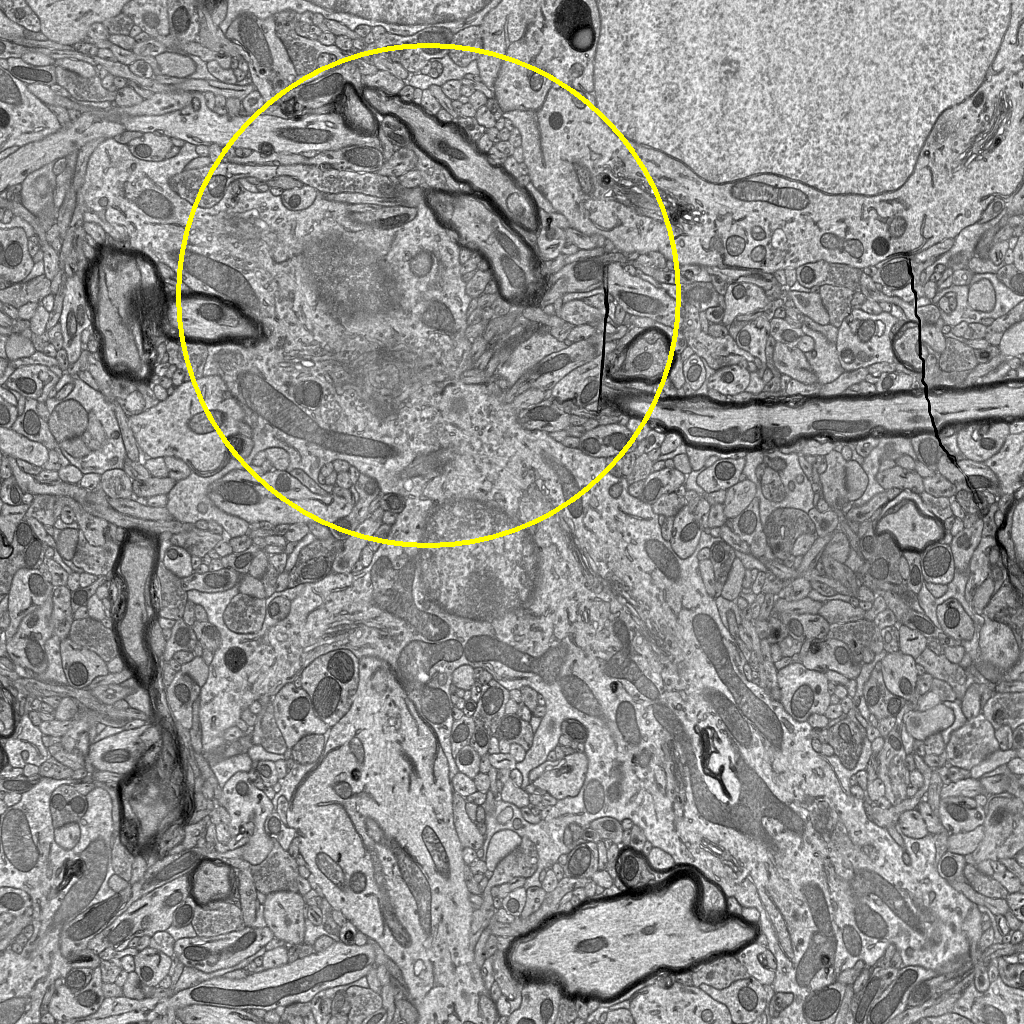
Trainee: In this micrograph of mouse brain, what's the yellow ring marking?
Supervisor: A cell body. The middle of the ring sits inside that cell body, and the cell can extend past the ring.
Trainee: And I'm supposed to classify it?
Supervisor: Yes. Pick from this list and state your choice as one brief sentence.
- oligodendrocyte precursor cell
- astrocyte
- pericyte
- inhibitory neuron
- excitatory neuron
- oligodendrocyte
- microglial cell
The cell at the ring's center is an astrocyte.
